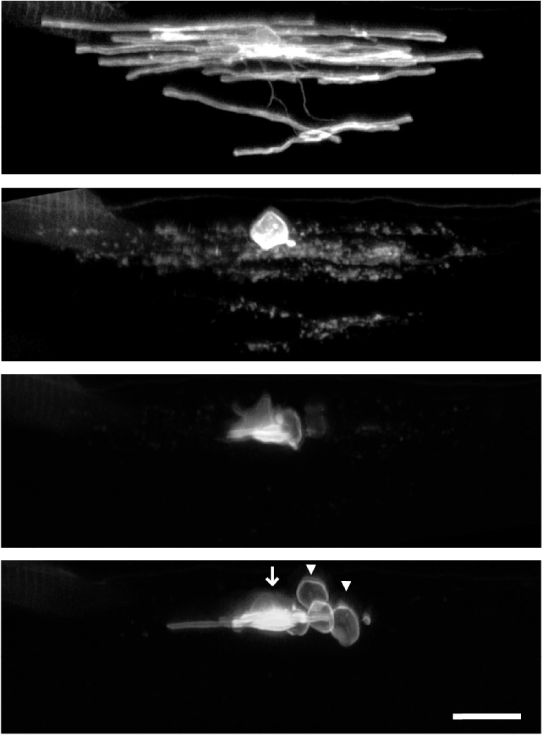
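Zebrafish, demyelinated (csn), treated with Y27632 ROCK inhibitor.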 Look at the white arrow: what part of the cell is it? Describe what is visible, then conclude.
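The arrow points to a bright compact mass at the left of a cluster of rings. A short straight sheath extends from this mass.
Conclusion: cell body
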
